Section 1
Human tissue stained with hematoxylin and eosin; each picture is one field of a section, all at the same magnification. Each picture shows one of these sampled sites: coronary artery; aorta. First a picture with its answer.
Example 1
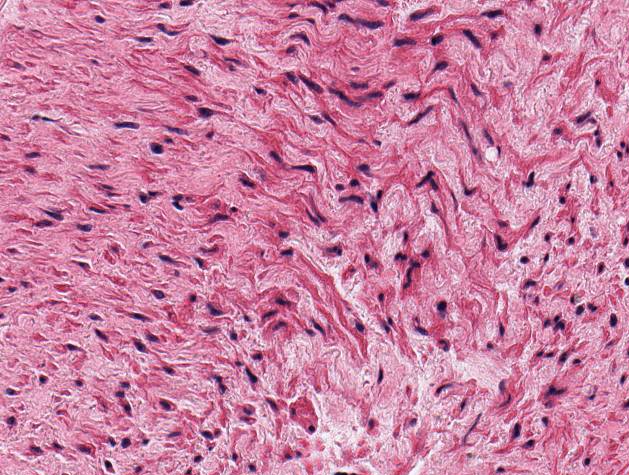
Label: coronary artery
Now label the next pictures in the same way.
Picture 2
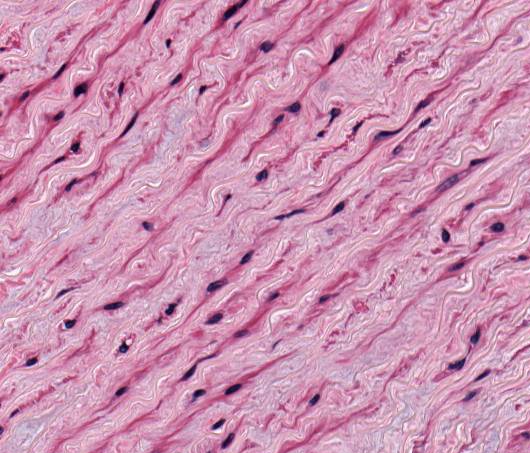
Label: aorta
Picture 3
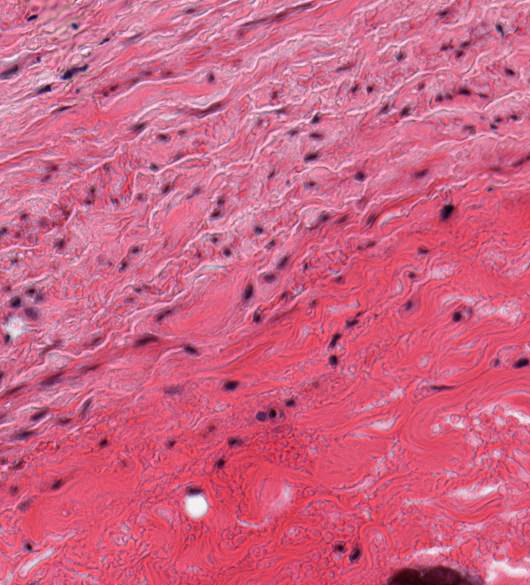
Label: aorta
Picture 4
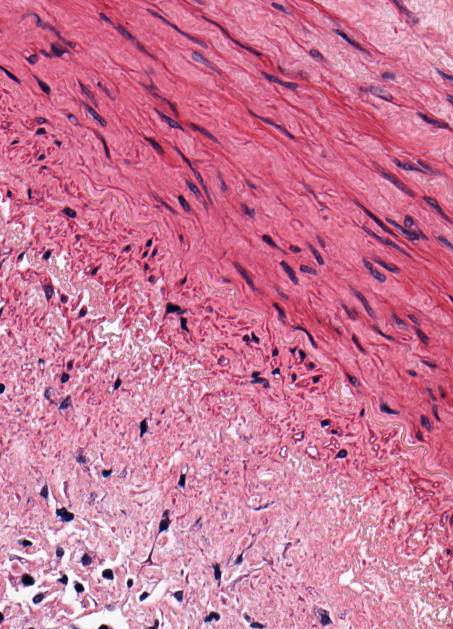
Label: coronary artery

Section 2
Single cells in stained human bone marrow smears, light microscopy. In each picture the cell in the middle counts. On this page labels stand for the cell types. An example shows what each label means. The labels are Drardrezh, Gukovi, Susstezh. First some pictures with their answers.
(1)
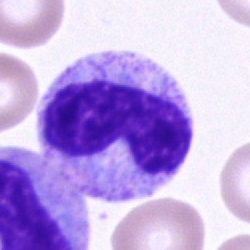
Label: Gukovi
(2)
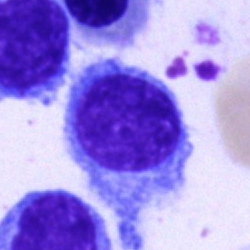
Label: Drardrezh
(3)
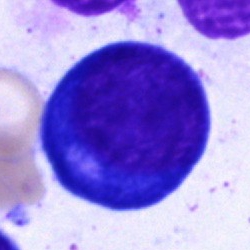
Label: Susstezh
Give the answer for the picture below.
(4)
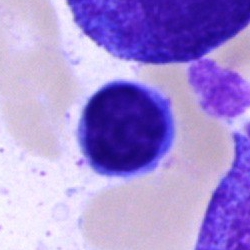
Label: Drardrezh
